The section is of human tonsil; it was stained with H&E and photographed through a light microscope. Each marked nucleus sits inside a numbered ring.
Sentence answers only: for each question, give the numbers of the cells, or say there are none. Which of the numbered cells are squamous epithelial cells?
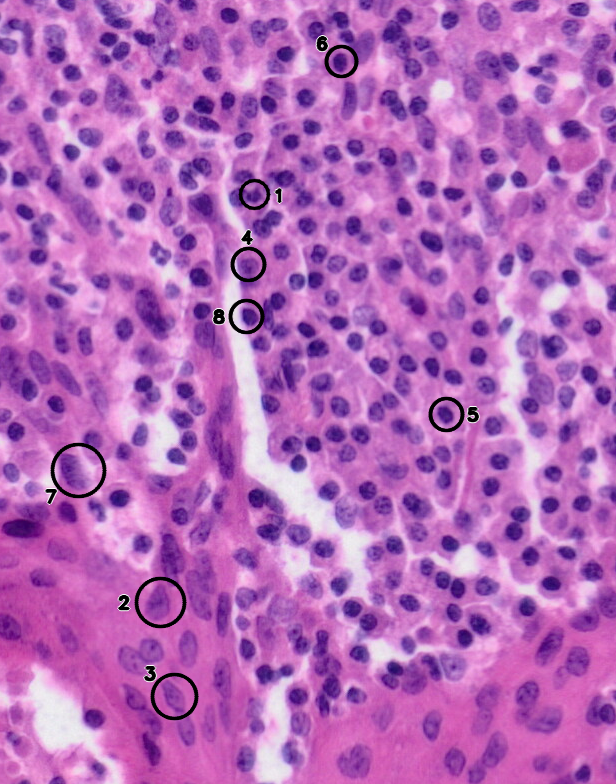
The numbers 2, 3 and 7 in this section indicate squamous epithelial cells.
